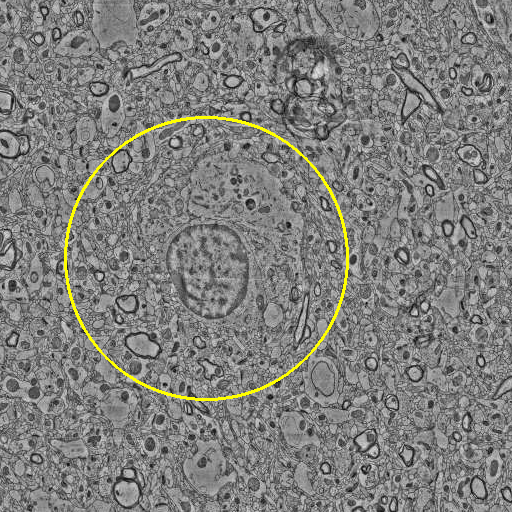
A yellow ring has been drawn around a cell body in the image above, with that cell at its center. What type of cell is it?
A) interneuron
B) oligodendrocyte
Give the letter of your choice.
B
